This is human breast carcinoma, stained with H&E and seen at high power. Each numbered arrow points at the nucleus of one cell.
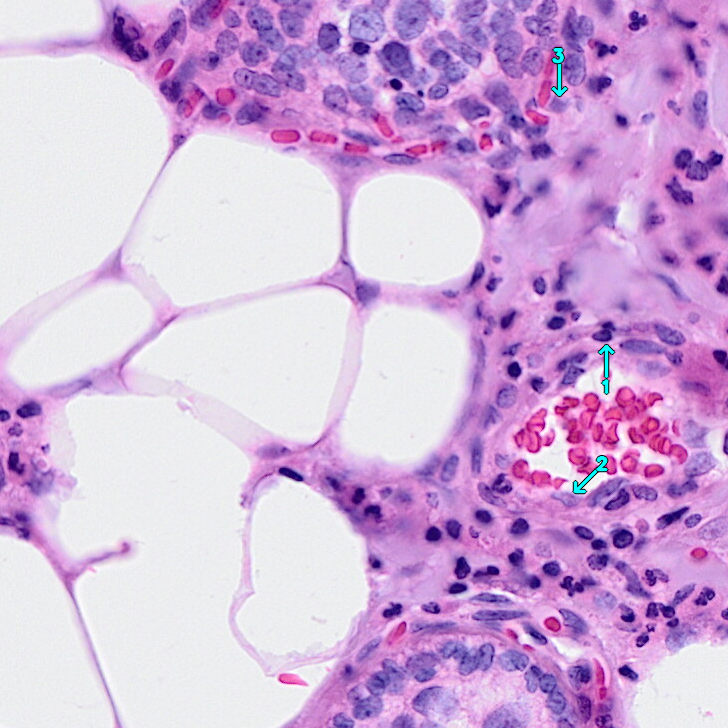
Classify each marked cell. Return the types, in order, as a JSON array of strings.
["lymphocyte", "endothelial cell", "endothelial cell"]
